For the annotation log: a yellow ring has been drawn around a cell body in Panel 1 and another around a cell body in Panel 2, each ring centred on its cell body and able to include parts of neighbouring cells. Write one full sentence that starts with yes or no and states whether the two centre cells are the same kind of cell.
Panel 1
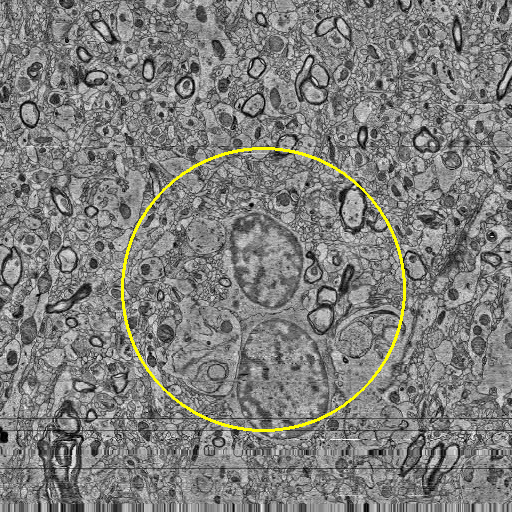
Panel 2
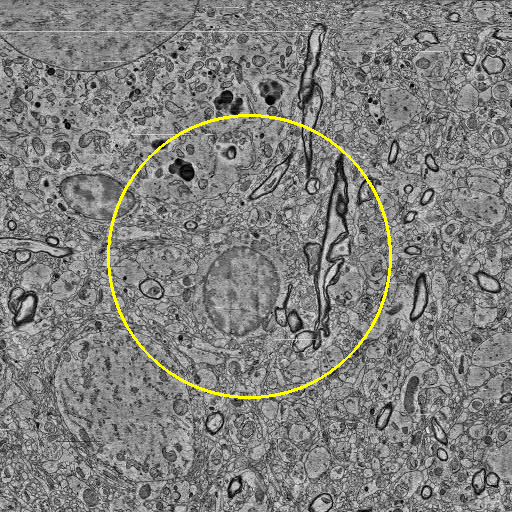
Yes, the two centre cells are the same kind of cell.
